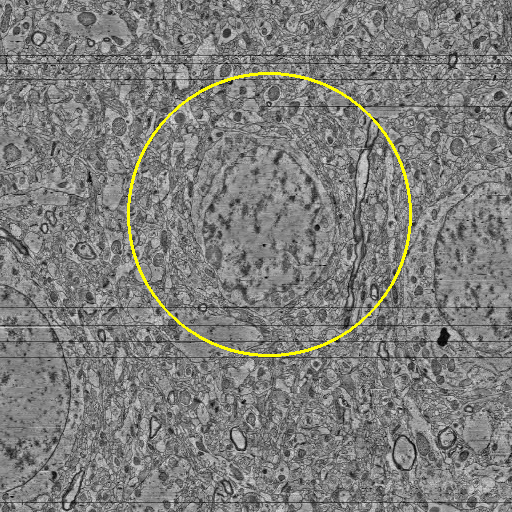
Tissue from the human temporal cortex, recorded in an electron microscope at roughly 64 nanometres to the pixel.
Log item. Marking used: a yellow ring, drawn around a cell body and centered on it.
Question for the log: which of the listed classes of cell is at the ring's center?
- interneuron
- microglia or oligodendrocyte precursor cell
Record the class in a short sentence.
At the center of the ring lies an interneuron.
